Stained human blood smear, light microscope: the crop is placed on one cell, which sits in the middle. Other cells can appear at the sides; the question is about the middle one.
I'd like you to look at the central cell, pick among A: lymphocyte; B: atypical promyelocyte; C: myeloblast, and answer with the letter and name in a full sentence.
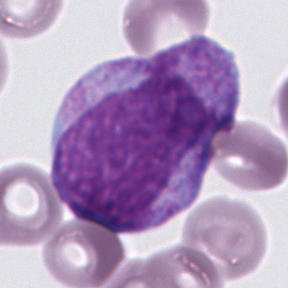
The correct identification, given in option B, is that the central cell is an atypical promyelocyte.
